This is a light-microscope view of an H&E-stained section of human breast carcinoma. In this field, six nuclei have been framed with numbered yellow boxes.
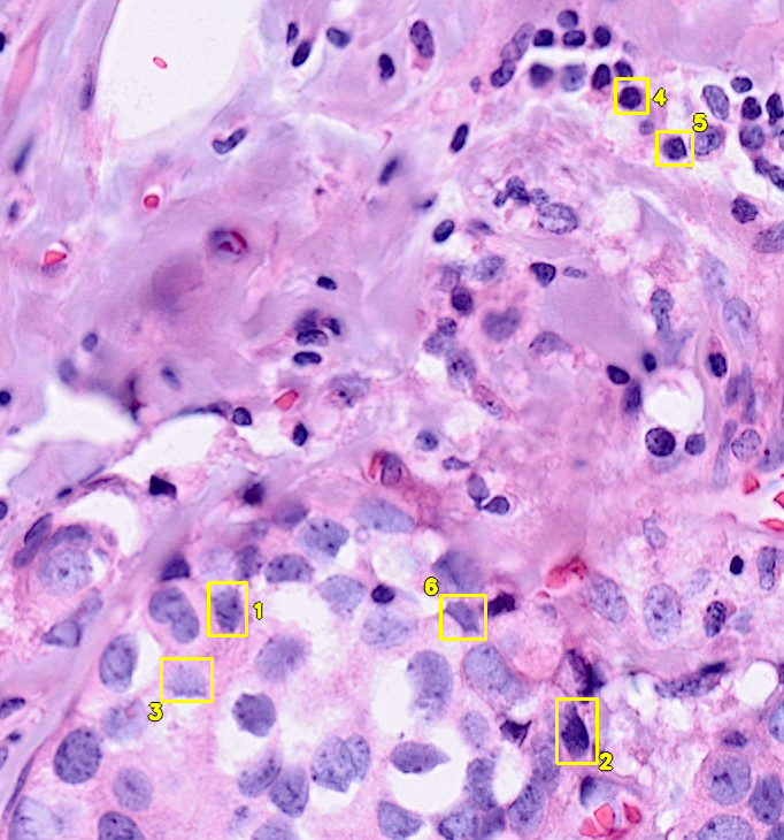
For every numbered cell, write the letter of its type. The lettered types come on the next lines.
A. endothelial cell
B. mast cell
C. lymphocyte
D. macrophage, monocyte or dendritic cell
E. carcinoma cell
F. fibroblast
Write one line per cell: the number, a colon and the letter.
1: E
2: E
3: E
4: C
5: C
6: E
